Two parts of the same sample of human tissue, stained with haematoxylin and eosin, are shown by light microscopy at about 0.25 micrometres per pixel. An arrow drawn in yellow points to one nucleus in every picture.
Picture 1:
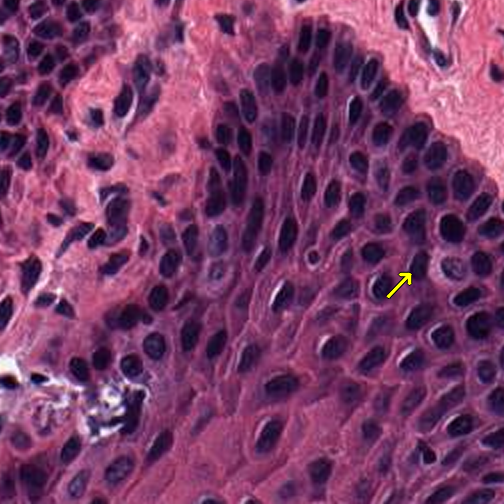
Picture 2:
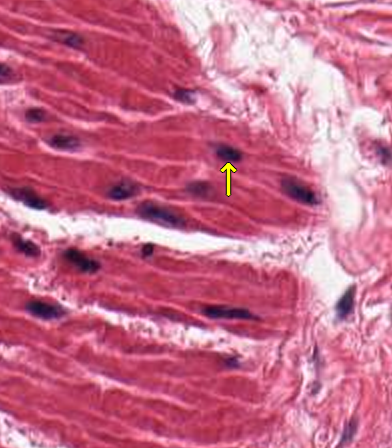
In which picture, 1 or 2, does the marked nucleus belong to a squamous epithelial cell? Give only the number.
1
